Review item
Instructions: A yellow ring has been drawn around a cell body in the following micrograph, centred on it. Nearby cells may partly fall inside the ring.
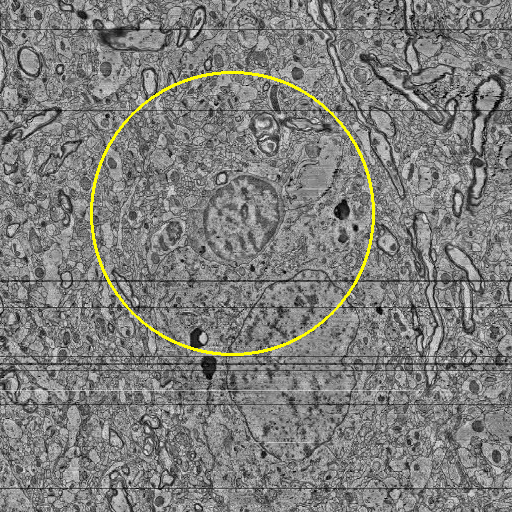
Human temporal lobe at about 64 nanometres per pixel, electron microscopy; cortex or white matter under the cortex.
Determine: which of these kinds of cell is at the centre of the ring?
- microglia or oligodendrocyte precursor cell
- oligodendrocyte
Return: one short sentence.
The cell body in the middle of the ring is that of an oligodendrocyte.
